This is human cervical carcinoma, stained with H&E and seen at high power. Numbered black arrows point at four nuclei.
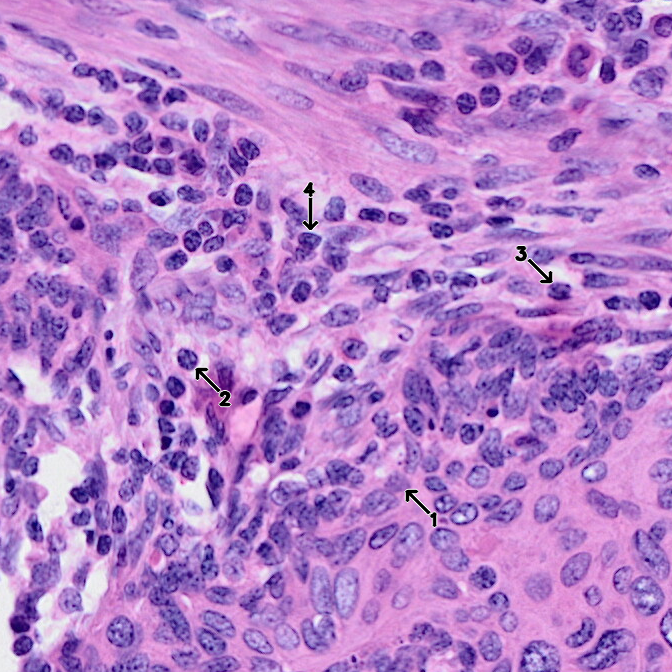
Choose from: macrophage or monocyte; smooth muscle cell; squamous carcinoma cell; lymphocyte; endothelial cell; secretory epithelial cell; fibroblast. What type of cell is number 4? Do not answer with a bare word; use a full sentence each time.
What the number 4 marks in this field is a lymphocyte.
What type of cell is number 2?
Numbered cell 2 is a lymphocyte in this tissue section.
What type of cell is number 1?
Belonging to a squamous carcinoma cell is the nucleus that carries the number 1.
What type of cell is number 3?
The cell indicated with the number 3 is classed as a lymphocyte.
